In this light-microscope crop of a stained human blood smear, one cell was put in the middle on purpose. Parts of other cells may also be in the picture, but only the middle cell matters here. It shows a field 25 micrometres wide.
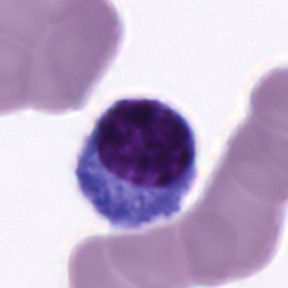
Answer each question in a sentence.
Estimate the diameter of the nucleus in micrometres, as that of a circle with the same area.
Taken as a circle, the nucleus has a diameter of about 8 micrometres.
